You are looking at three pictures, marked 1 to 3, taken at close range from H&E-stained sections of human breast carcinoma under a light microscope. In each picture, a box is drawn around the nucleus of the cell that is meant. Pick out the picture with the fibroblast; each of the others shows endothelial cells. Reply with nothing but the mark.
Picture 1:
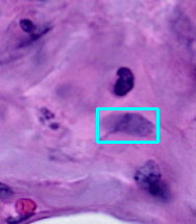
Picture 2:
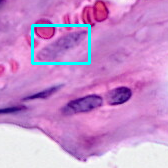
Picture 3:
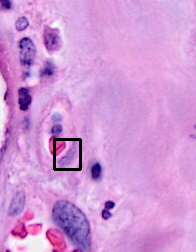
1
